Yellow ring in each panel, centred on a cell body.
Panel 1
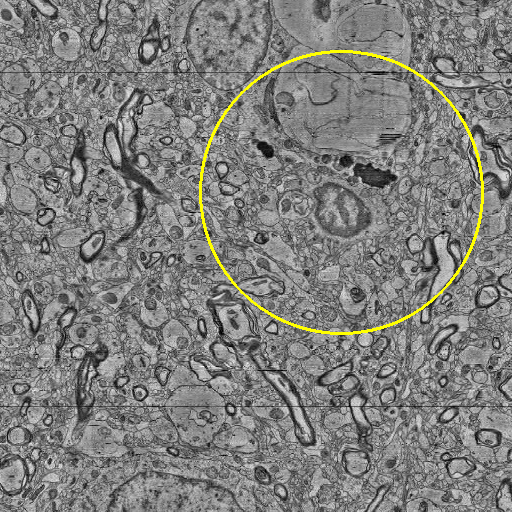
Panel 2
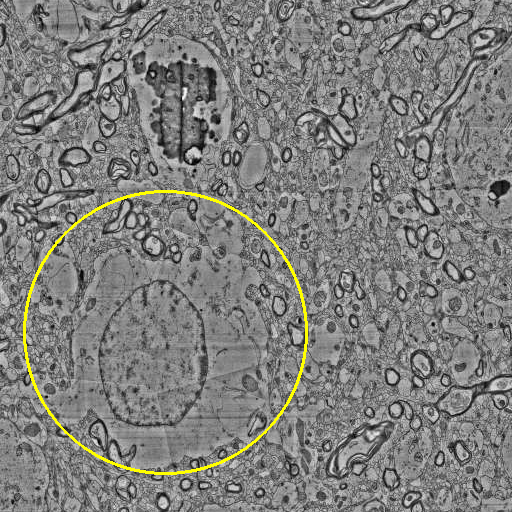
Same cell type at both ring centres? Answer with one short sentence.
No, the two cells are of two types.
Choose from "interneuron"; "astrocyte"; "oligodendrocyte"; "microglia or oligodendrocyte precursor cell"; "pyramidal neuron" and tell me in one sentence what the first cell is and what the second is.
What the first ring is centred on is an oligodendrocyte; what the second ring is centred on is an astrocyte.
